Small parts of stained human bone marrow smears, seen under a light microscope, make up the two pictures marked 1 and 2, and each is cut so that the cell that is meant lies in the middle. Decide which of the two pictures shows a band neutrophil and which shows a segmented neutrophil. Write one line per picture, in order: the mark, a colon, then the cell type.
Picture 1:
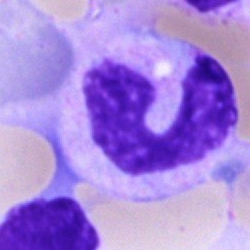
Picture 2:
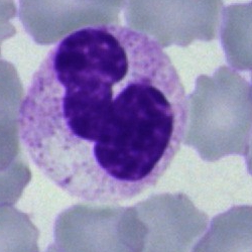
1: band neutrophil
2: segmented neutrophil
